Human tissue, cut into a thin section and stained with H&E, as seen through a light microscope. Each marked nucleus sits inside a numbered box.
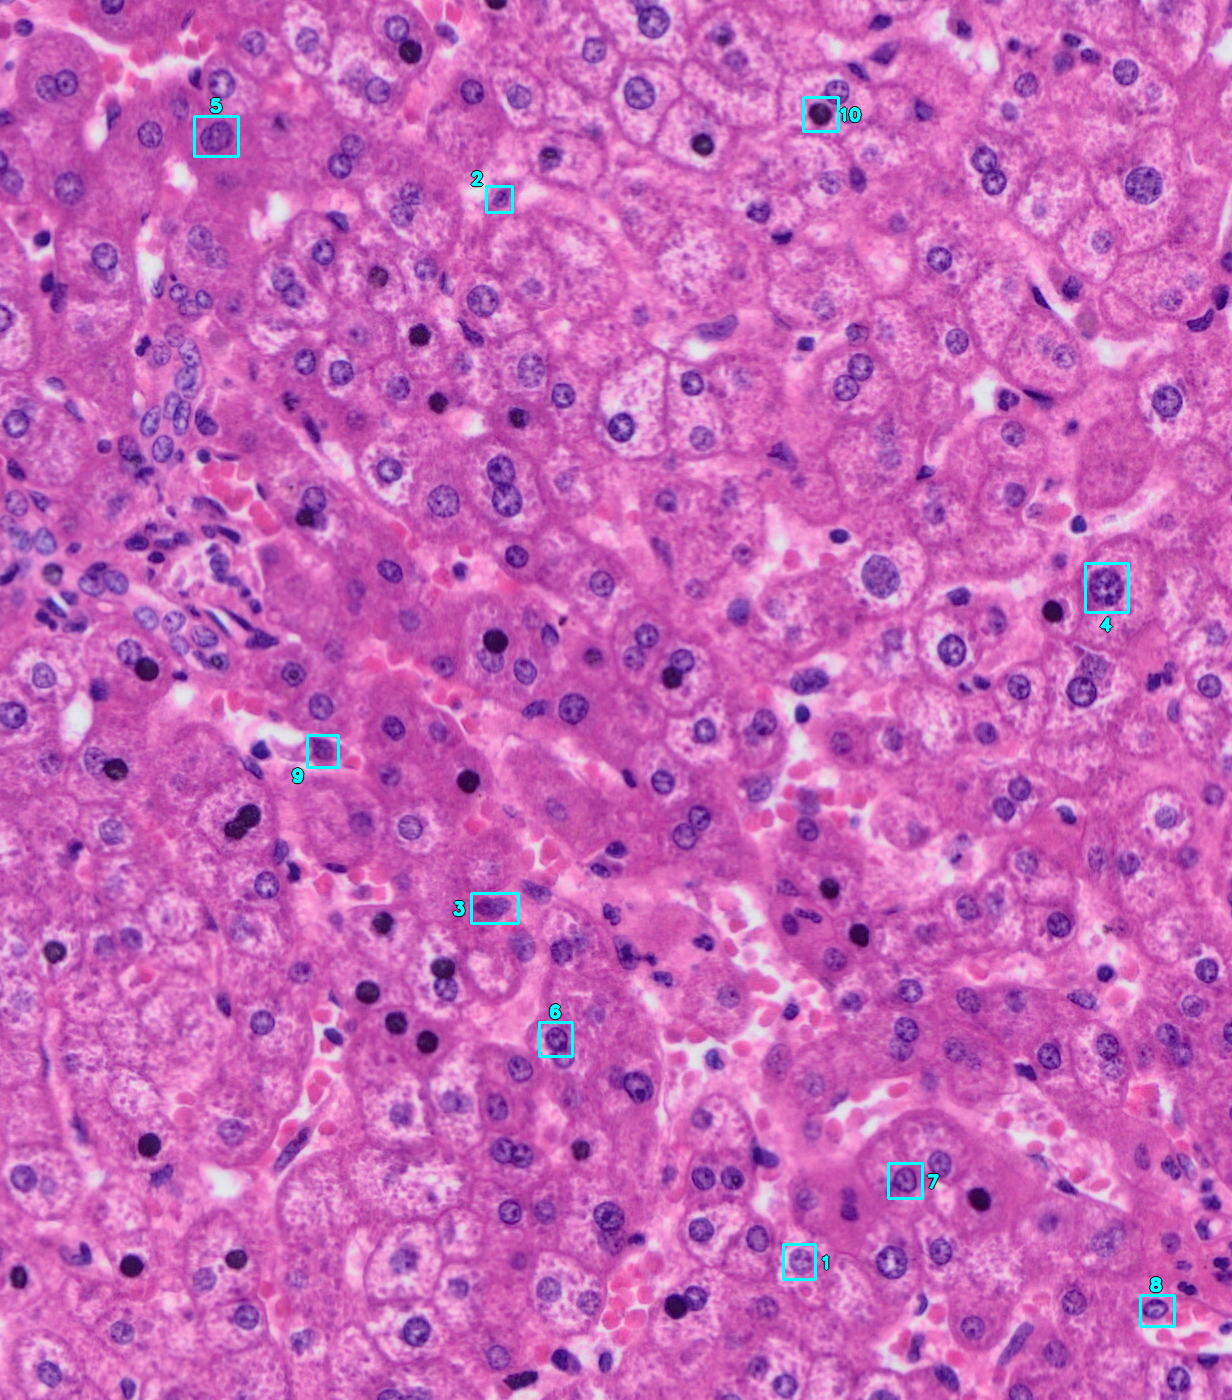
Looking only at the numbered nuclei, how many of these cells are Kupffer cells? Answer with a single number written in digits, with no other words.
4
